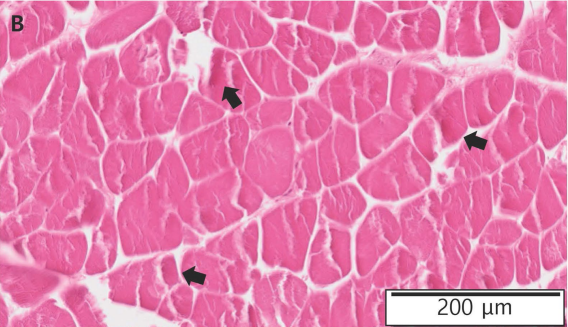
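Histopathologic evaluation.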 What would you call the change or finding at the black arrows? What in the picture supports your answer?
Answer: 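The marked fibers are smaller than their neighbours. The marked fibers stain a deeper pink than surrounding fibers.
Hence: hypereosinophilic and atrophied.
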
